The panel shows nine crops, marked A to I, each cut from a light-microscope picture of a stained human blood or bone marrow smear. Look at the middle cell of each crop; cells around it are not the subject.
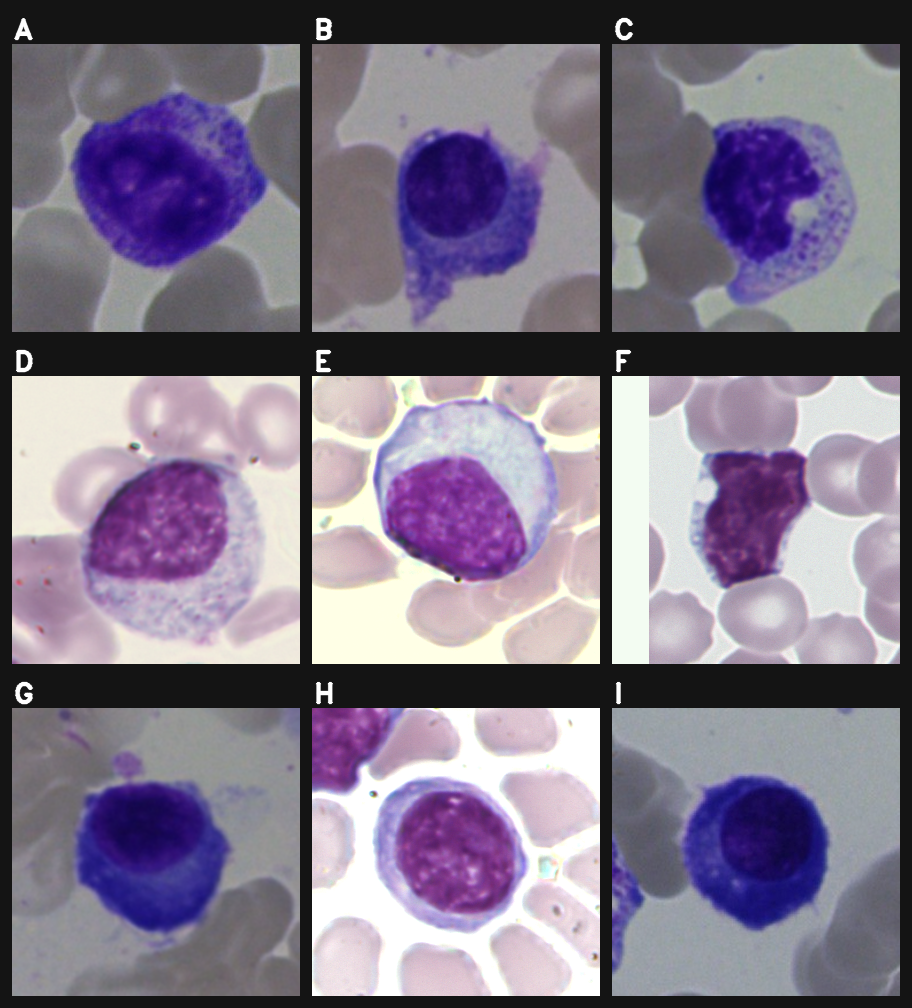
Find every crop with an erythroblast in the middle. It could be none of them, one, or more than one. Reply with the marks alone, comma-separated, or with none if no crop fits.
none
